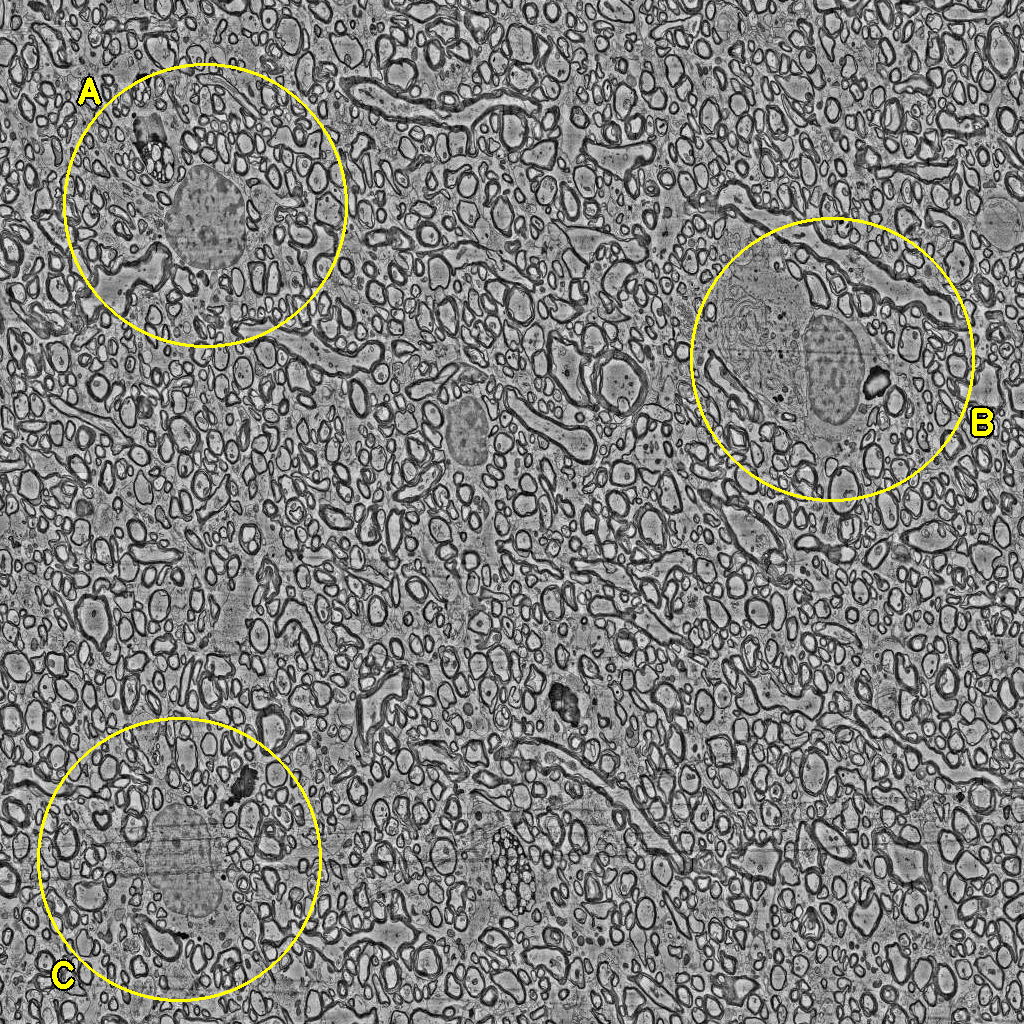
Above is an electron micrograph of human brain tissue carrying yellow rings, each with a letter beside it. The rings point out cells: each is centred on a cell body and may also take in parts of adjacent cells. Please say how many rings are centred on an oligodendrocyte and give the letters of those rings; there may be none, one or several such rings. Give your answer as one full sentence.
The micrograph shows two rings each centred on an oligodendrocyte, those being the rings lettered B and C.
